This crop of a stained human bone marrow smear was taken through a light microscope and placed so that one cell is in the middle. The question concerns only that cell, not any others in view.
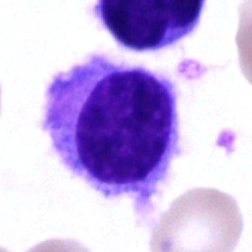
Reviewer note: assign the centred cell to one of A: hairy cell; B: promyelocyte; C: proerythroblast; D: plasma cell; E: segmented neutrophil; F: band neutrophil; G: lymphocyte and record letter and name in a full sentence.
The cell at the centre, correctly named in option A, is a hairy cell.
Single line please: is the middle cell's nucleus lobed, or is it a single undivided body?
A single compact nucleus is present, shaped round, oval or like a kidney.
